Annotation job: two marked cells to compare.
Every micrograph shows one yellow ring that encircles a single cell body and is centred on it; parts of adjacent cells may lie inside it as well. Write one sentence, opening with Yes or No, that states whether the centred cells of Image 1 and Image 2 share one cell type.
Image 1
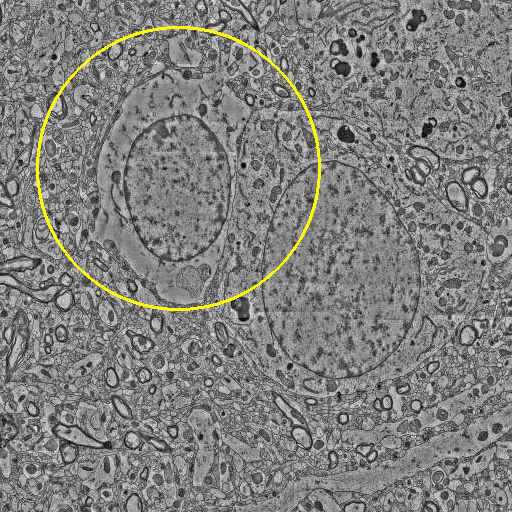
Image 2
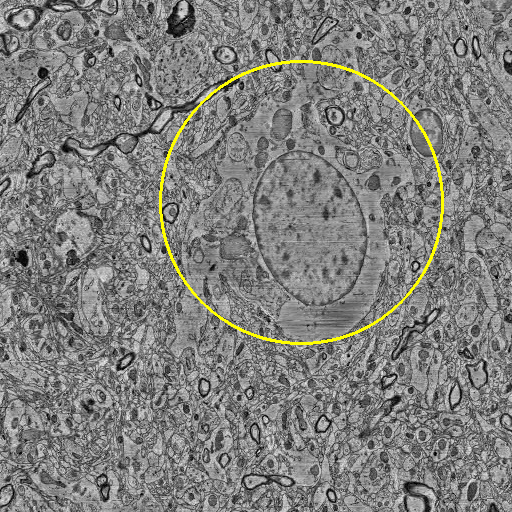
Yes, the cell centred in Image 1 shares its type with the cell centred in Image 2.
